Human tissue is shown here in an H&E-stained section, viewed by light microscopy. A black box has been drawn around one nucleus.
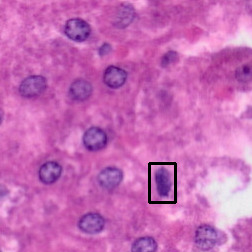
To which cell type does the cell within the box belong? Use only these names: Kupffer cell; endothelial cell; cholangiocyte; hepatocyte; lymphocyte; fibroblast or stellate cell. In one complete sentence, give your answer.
In this tissue sample, the cell within the box is a fibroblast or stellate cell.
